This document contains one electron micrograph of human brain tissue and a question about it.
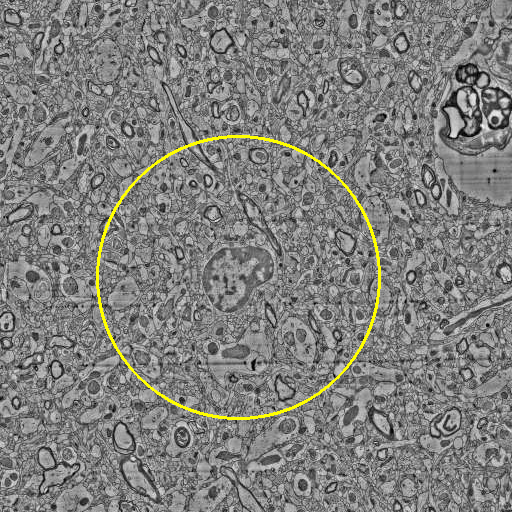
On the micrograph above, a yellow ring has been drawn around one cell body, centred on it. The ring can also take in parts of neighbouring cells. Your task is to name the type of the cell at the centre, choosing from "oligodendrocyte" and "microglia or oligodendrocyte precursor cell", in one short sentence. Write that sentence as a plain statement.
Here the ring is centred on a microglial cell or oligodendrocyte precursor cell.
